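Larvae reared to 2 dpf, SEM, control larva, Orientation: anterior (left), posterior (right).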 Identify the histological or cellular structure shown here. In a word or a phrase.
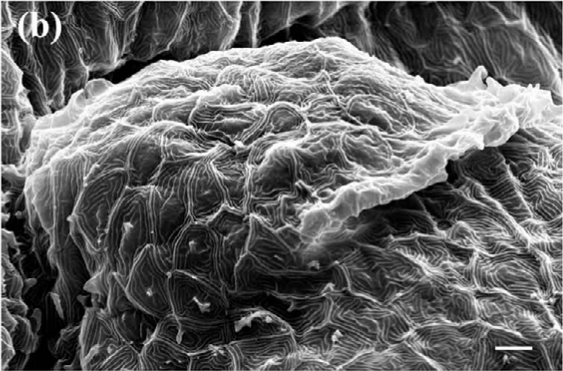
pectoral fin bud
